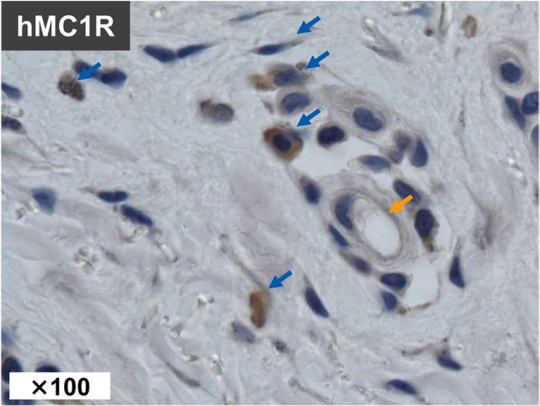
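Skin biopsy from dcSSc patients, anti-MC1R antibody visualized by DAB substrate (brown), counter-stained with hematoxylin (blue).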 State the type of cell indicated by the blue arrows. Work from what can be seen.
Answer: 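The arrows point to single cells scattered in collagenous connective tissue. These cells have one nucleus each and brown-stained cytoplasm. Some are spindle-shaped, others rounded.
Fibroblasts/mononuclear cells.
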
